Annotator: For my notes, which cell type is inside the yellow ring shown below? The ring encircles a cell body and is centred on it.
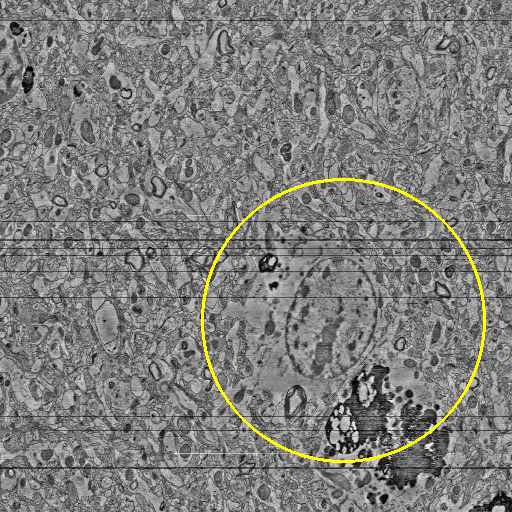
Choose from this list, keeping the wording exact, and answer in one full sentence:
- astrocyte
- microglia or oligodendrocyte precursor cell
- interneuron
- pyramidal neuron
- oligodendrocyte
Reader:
At the centre of the yellow ring there is an astrocyte, as shown in the picture.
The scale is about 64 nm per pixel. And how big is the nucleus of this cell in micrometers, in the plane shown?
In this plane the nucleus spans approximately 8 by 6 micrometers.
